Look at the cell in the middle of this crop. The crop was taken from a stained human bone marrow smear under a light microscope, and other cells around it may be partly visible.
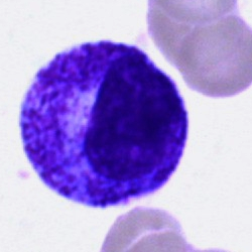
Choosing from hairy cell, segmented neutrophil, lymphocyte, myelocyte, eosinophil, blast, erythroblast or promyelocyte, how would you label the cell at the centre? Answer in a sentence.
In this crop, the cell at the very middle is a promyelocyte.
